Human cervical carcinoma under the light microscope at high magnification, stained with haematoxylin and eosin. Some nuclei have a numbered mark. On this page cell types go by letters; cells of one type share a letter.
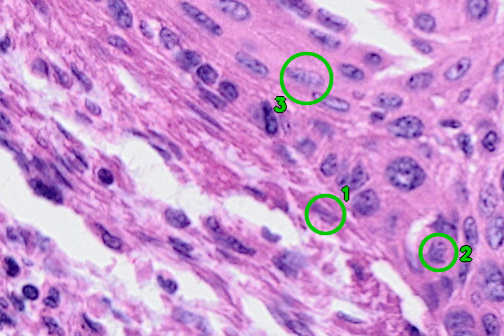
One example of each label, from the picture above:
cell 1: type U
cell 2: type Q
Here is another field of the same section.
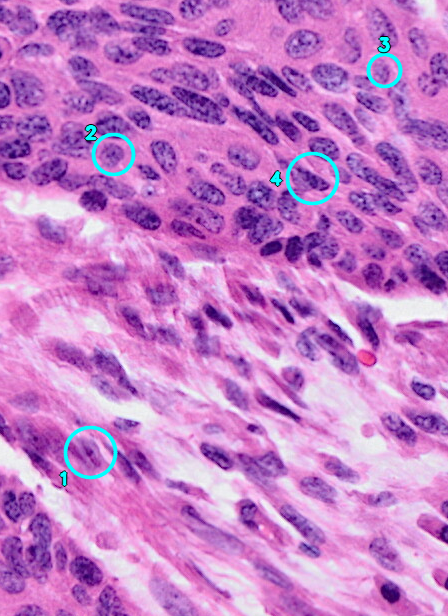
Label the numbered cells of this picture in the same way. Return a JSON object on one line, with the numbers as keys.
{"1": "type U", "2": "type Q", "3": "type Q", "4": "type Q"}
